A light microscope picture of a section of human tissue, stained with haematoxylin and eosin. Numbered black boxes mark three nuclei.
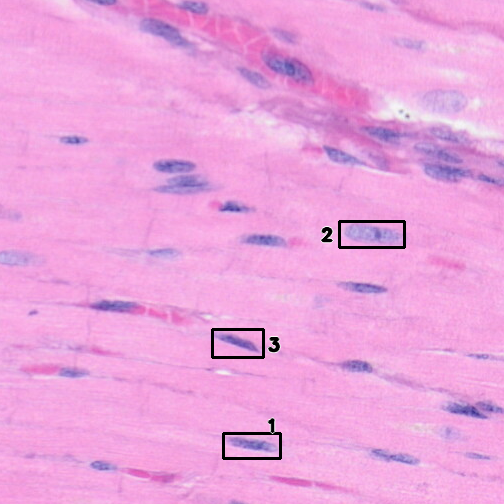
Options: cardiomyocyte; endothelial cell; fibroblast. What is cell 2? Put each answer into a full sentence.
Classified as a cardiomyocyte is the cell with the number 2.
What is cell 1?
In this section, the cell tagged 1 is an endothelial cell.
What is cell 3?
Cell 3 in the field is an endothelial cell.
